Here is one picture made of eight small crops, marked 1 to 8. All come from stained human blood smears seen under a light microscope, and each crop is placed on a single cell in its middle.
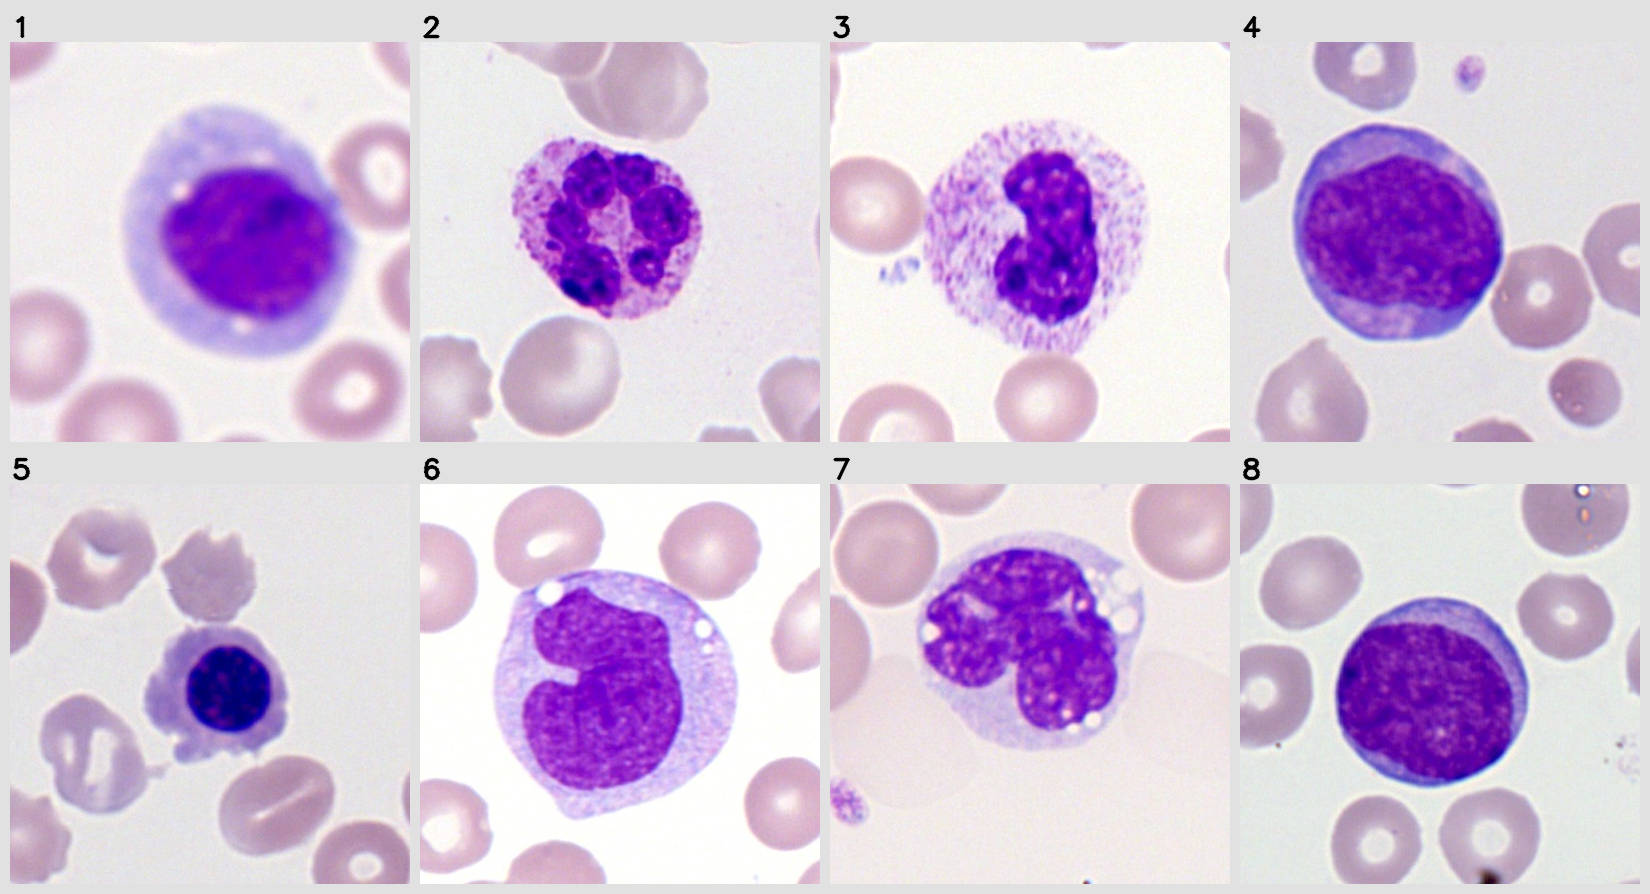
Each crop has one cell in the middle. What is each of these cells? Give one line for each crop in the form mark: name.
1: monocyte
2: basophil
3: band neutrophil
4: myeloblast
5: erythroblast
6: monocyte
7: monocyte
8: myeloblast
